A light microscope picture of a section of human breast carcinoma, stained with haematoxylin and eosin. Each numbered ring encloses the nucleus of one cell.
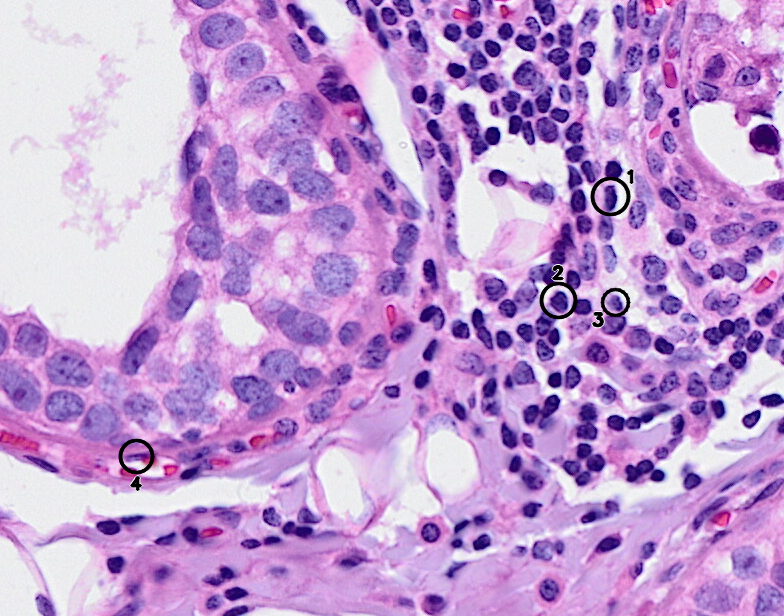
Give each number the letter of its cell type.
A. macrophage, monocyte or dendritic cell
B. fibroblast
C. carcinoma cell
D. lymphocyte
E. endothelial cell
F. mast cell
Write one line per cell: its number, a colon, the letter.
1: D
2: D
3: D
4: E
